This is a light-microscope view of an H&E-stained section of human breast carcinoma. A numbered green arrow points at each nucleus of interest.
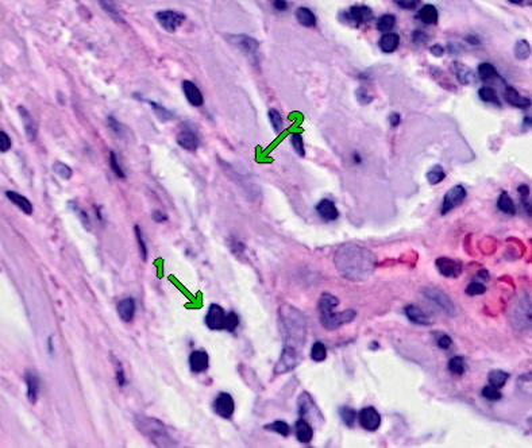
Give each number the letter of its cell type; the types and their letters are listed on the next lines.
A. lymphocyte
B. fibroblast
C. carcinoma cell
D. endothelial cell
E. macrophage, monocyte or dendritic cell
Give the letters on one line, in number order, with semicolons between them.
A; B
